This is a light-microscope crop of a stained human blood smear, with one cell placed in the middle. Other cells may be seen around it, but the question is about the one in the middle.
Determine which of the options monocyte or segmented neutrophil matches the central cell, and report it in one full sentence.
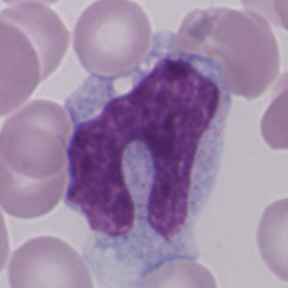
In the crop, the cell of interest at the centre is a monocyte.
